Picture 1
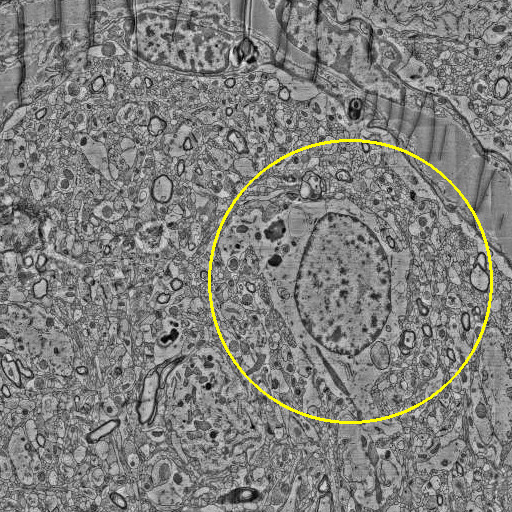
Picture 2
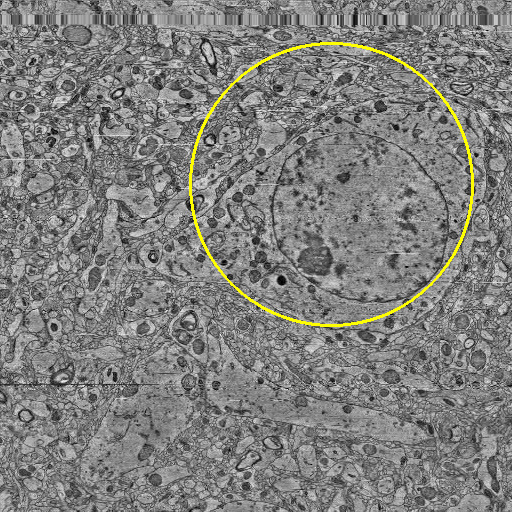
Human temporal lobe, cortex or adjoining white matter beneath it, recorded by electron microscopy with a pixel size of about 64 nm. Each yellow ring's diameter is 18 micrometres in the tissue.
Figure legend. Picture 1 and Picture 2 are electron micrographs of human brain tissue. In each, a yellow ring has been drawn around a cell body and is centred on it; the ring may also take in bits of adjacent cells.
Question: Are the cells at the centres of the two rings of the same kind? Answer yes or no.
no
